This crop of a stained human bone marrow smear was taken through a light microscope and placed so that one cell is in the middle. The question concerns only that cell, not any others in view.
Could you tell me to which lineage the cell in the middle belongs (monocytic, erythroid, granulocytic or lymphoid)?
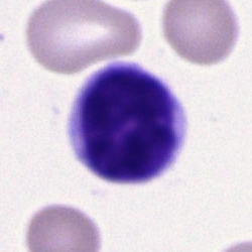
lymphoid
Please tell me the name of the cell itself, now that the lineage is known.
lymphocyte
